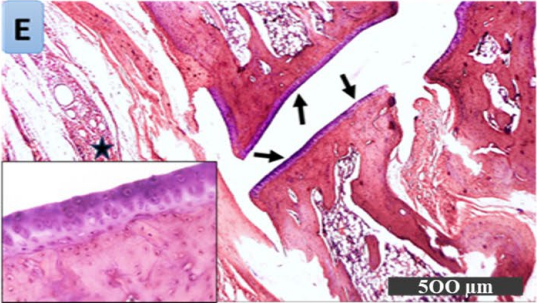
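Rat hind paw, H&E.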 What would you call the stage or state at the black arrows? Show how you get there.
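Intact articular surface. The cartilage surfaces at the black arrows are smooth and continuous. A purple-staining cartilage layer lines the opposing bone ends.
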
